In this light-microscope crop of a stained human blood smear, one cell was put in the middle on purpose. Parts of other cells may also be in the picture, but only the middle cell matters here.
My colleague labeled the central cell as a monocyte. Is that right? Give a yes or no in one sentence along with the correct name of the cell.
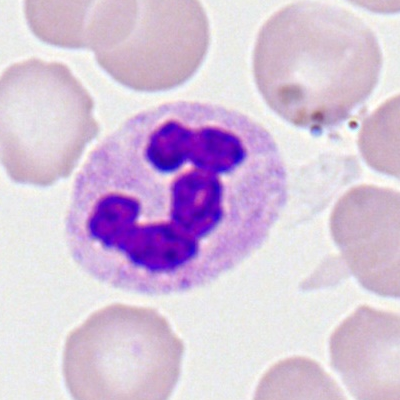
No, the label for the central cell is a segmented neutrophil, not a monocyte.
